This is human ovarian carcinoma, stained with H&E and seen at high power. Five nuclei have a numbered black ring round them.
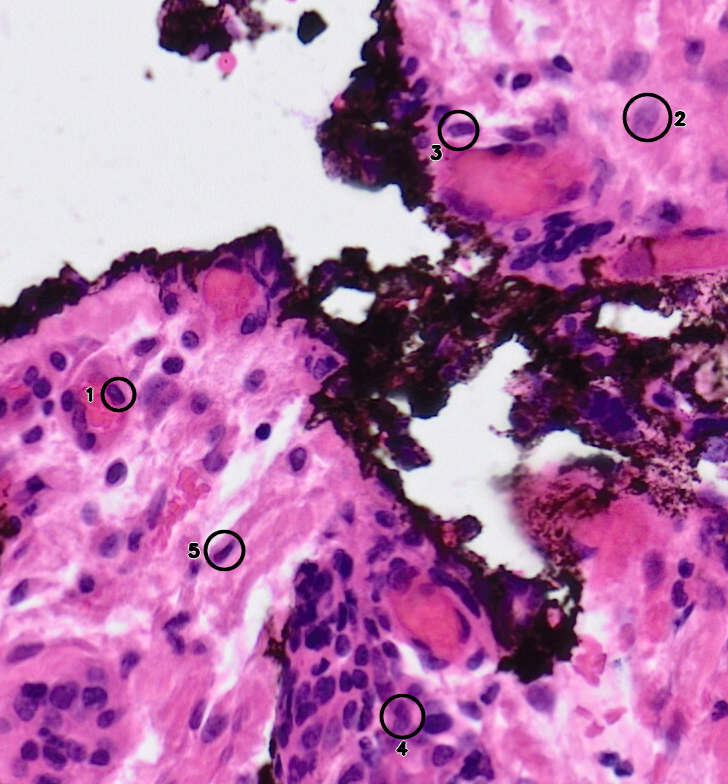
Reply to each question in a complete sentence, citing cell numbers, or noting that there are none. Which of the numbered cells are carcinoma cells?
The numbered cells include exactly one that is a carcinoma cell, which is cell 4.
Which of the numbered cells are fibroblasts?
The numbers 2 and 5 in this section indicate fibroblasts.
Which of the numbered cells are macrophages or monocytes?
Cell 3 alone, of all the numbered cells, is a macrophage or monocyte.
